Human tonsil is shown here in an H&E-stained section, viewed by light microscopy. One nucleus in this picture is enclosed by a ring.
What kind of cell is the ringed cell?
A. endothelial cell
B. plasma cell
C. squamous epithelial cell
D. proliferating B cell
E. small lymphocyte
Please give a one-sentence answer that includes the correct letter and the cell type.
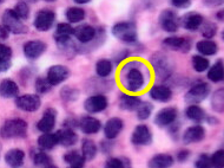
The correct option, E, describes the ringed cell as a small lymphocyte.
